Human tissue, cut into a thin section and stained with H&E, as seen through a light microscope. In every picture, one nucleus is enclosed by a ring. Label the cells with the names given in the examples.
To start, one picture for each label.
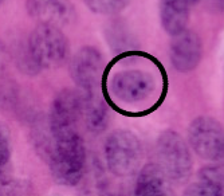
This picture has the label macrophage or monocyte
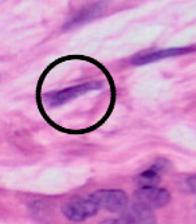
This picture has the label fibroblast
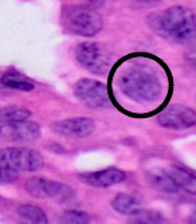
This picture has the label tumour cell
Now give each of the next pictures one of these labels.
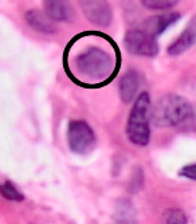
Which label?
tumour cell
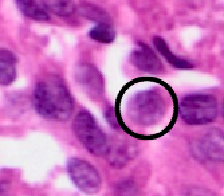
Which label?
tumour cell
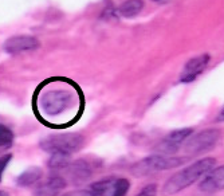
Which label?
macrophage or monocyte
